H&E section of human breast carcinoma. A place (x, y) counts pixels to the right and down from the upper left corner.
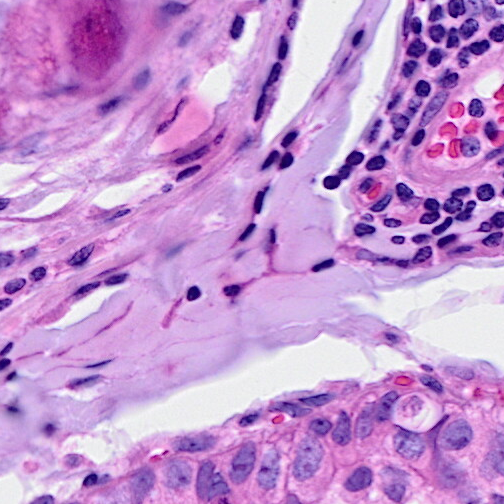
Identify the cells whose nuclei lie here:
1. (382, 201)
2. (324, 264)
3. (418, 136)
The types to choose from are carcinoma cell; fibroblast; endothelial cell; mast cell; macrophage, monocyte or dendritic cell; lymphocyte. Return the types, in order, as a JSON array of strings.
["endothelial cell", "lymphocyte", "lymphocyte"]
